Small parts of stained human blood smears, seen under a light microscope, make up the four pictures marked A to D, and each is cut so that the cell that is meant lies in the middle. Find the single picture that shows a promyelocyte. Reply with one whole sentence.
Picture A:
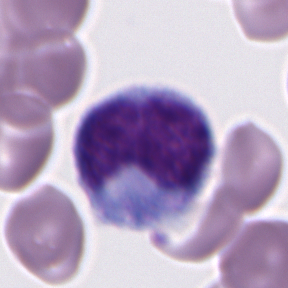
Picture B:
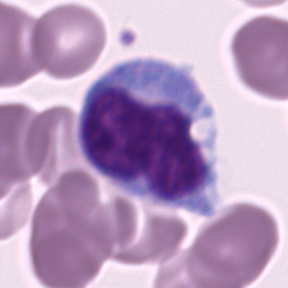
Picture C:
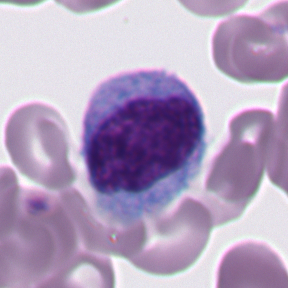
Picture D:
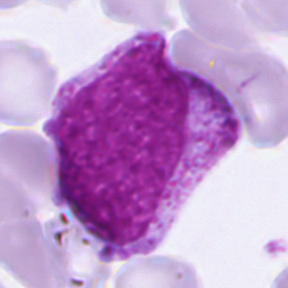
Picture D is the one that shows the promyelocyte.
